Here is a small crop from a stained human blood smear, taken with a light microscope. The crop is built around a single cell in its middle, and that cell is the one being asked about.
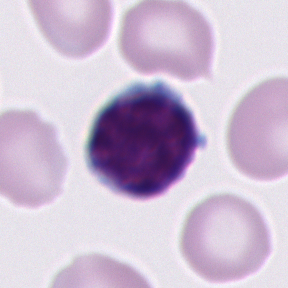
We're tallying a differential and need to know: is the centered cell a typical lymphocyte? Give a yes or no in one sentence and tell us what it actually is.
Yes, the cell positioned at the centre of the crop is a typical lymphocyte.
